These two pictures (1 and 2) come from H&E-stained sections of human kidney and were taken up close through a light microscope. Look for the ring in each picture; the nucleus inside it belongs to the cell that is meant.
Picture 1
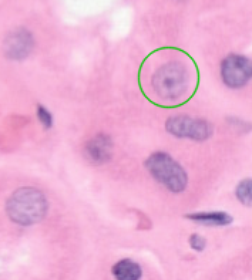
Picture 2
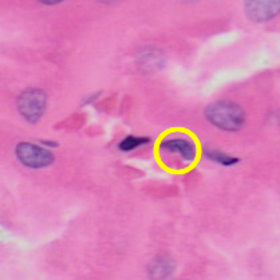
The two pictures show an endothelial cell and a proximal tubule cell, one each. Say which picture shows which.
1: proximal tubule cell
2: endothelial cell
